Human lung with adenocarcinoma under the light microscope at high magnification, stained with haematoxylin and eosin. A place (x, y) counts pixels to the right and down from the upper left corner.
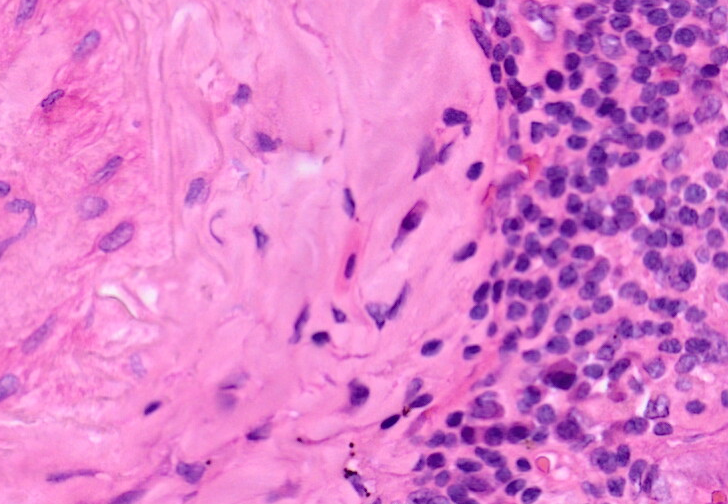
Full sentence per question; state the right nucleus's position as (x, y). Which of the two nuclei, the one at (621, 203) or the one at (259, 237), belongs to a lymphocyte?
Of the two nuclei, the nucleus of a lymphocyte is at (621, 203).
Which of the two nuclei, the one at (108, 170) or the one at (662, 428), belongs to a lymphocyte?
So, of the two, the nucleus at (662, 428) is the one belonging to a lymphocyte.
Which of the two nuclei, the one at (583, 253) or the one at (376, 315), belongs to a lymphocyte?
The one nucleus of the two that belongs to a lymphocyte is at (583, 253).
